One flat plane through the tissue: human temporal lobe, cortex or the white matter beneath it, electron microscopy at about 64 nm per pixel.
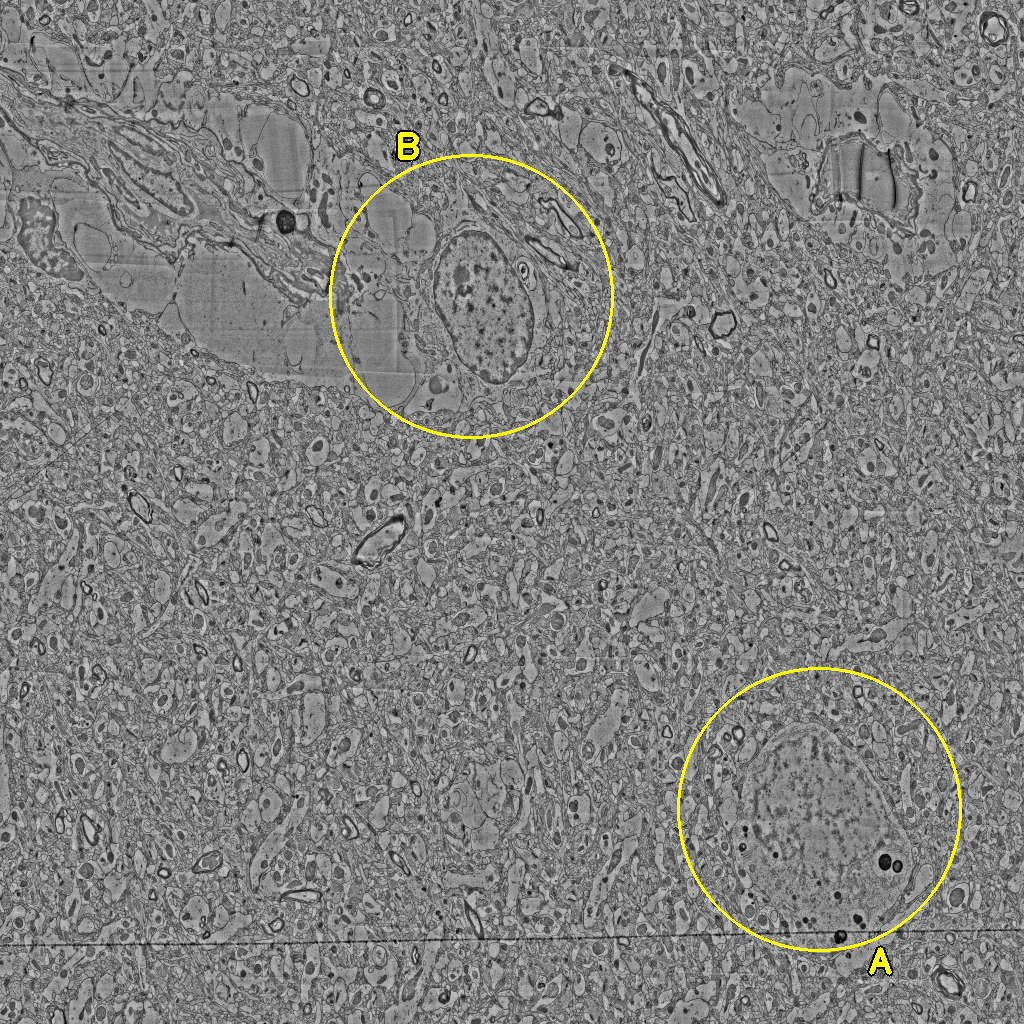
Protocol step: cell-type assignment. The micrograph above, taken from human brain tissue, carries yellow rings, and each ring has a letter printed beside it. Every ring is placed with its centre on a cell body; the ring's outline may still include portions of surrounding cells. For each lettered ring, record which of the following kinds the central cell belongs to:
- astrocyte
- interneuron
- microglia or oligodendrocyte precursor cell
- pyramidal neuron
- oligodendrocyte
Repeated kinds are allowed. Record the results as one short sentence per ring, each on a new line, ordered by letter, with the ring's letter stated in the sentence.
In ring A, the central cell is an interneuron.
In ring B, the central cell is a microglial cell or oligodendrocyte precursor cell.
